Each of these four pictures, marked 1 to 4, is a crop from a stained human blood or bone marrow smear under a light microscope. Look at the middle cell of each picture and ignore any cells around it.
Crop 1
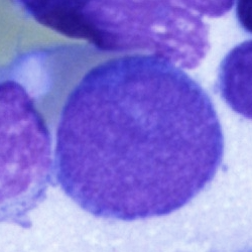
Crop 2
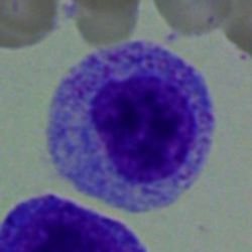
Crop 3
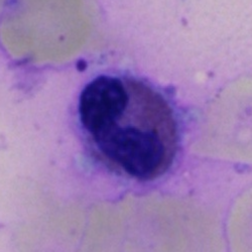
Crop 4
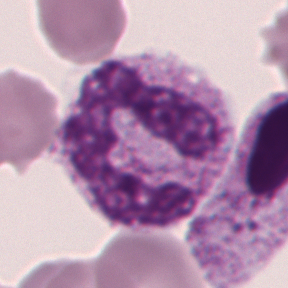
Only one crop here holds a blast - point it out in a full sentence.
The correct choice is crop 1, the one showing a blast.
